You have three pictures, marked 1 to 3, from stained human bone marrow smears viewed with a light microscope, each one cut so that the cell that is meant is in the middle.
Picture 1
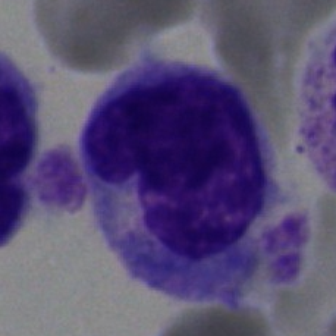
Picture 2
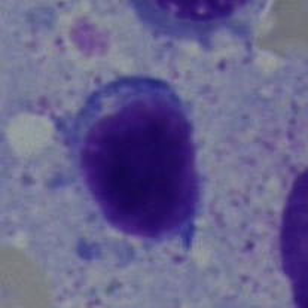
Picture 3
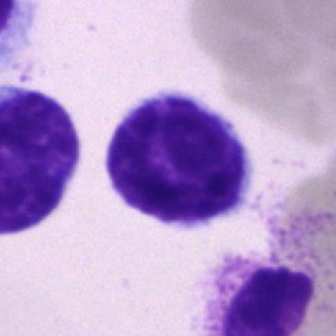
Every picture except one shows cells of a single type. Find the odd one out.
1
